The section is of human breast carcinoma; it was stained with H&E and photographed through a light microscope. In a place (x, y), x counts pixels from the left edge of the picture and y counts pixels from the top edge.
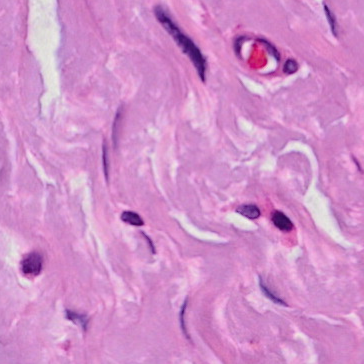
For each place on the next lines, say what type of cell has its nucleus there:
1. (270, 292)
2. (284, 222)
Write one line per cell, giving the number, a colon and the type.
1: fibroblast
2: mast cell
